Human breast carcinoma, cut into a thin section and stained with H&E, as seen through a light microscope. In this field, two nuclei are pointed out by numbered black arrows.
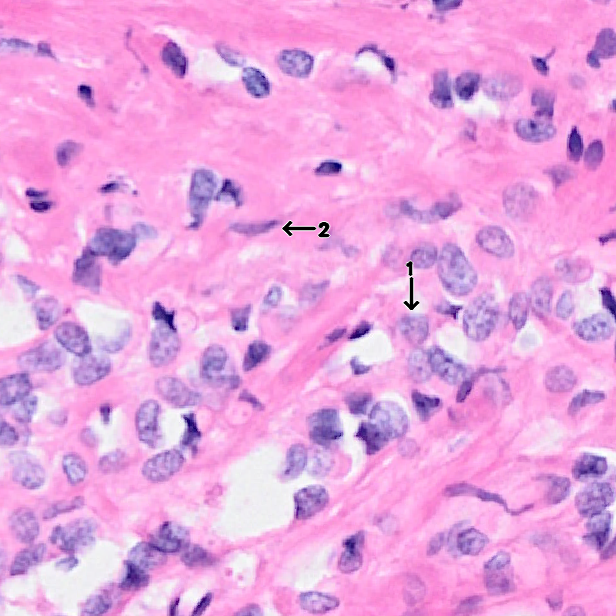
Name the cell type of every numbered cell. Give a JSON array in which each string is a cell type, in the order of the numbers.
["carcinoma cell", "fibroblast"]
